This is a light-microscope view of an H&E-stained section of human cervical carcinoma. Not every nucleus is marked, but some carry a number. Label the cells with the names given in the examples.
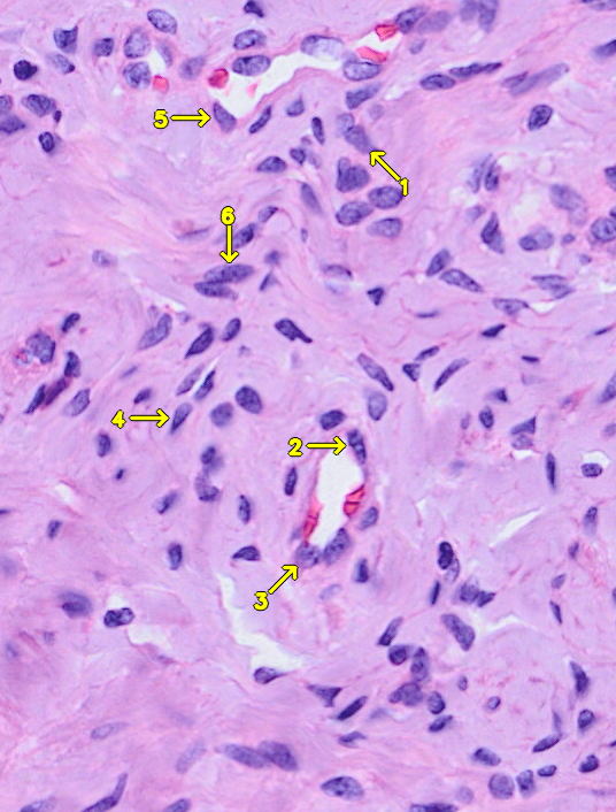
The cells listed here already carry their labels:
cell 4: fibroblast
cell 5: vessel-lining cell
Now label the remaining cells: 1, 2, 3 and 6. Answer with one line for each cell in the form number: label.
1: fibroblast
2: vessel-lining cell
3: vessel-lining cell
6: fibroblast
